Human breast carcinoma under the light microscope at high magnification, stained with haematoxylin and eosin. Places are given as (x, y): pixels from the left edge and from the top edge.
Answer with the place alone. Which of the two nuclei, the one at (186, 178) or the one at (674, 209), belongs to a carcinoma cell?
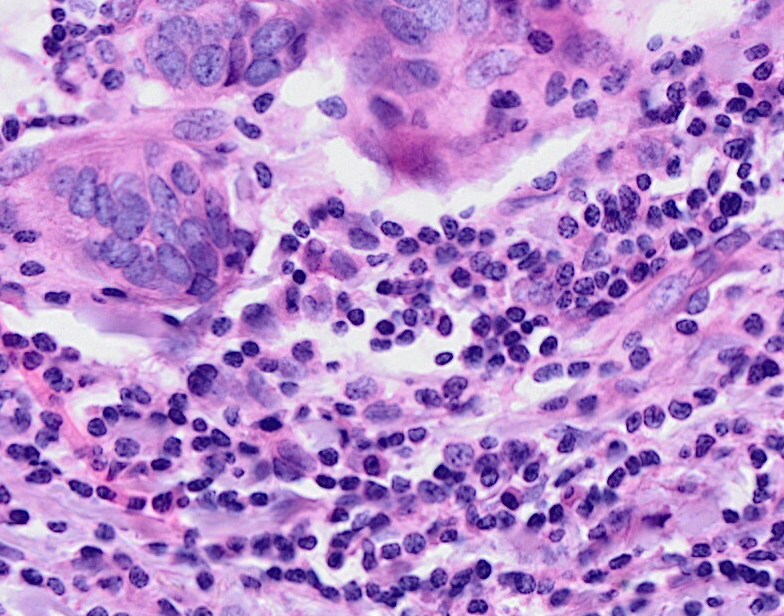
(186, 178)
